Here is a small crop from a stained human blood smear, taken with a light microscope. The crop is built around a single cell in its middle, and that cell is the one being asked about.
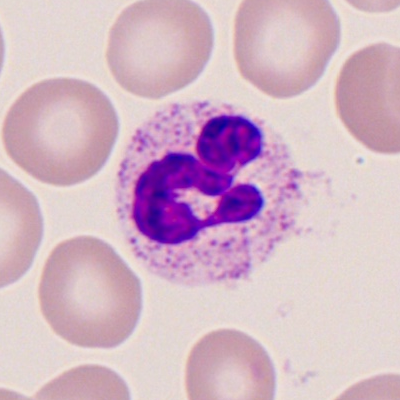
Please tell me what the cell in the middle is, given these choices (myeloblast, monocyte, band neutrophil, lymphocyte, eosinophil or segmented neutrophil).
segmented neutrophil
